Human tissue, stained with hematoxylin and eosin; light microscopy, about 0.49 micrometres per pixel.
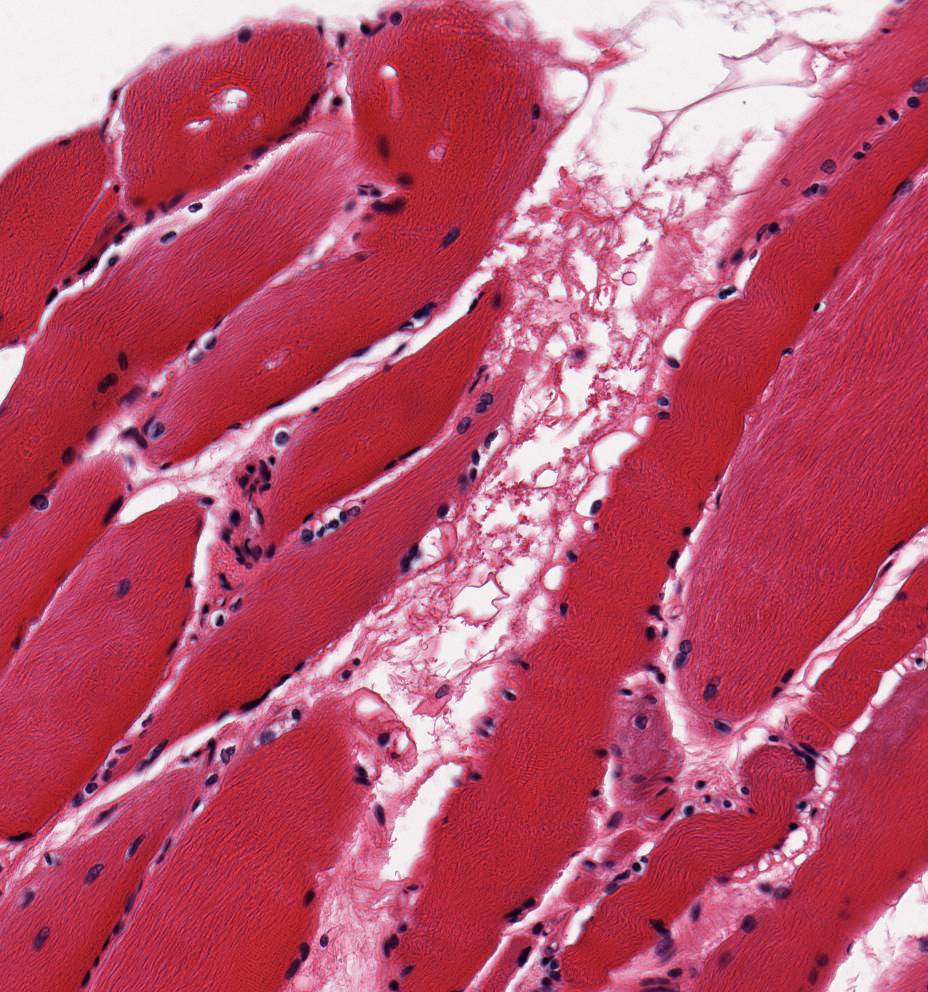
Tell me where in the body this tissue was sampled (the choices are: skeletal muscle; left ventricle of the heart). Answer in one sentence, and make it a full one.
This is tissue that was sampled from the skeletal muscle.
